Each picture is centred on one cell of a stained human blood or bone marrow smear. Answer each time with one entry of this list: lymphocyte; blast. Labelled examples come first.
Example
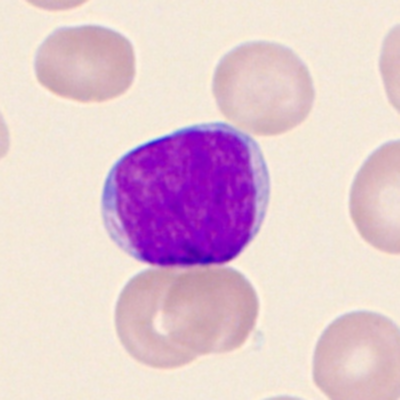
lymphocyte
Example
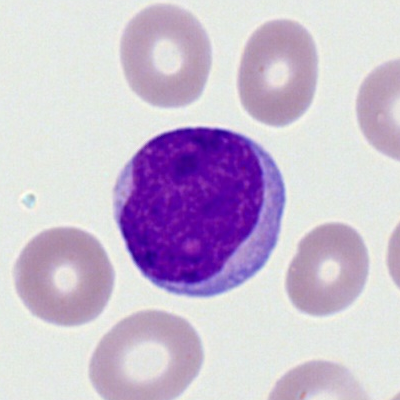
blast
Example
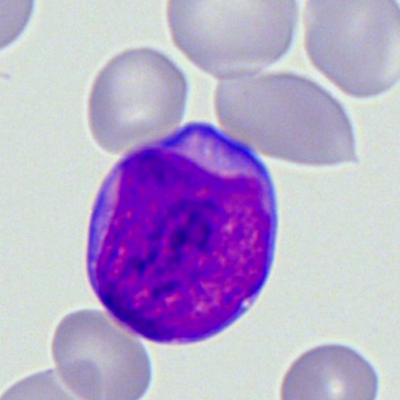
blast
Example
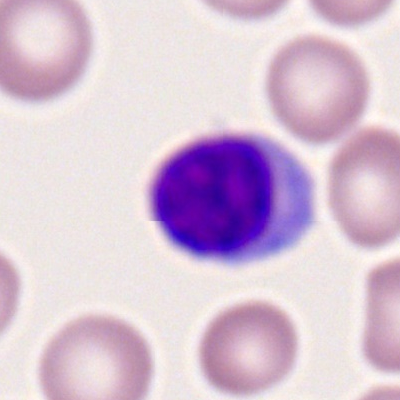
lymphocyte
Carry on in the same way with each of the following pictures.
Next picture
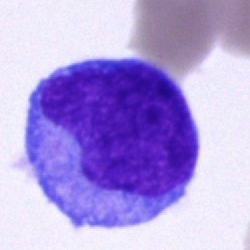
blast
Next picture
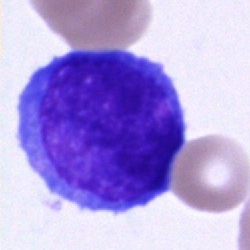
blast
